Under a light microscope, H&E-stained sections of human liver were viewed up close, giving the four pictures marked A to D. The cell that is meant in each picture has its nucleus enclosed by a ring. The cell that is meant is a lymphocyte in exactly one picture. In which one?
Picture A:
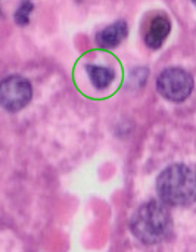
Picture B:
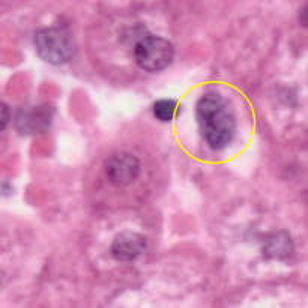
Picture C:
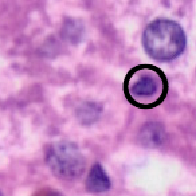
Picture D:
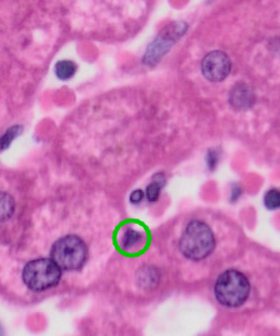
A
